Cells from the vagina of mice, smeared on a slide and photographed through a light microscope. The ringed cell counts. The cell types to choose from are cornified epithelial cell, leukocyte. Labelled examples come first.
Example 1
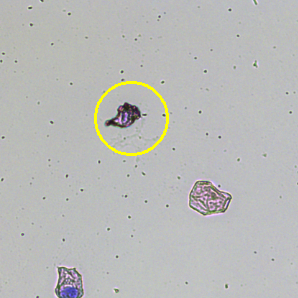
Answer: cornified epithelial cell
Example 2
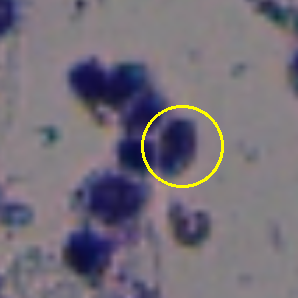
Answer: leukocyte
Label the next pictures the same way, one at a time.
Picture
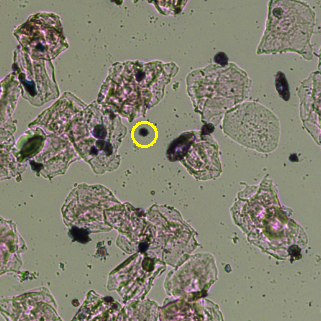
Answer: leukocyte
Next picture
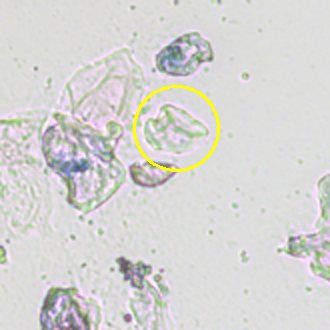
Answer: cornified epithelial cell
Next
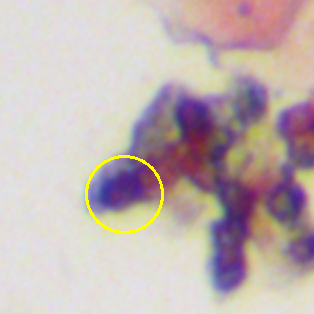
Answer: leukocyte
